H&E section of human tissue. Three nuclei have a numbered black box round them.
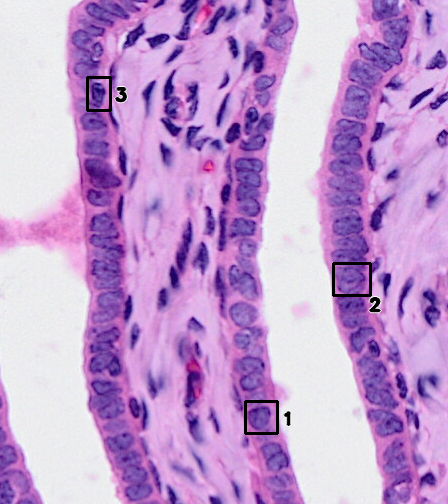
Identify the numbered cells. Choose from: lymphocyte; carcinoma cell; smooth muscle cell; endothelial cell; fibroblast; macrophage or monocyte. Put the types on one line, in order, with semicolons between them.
carcinoma cell; carcinoma cell; lymphocyte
